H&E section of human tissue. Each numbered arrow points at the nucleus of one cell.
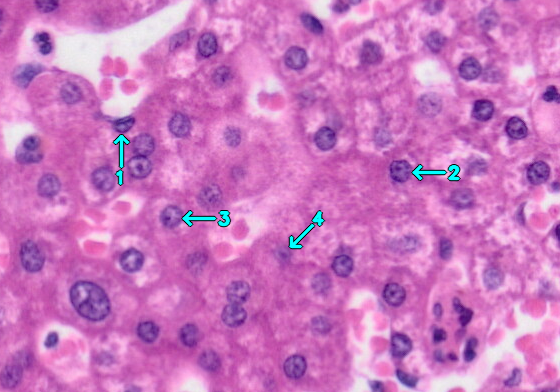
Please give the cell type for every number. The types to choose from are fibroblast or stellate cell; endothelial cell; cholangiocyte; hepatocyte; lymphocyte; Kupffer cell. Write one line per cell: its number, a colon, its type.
1: fibroblast or stellate cell
2: hepatocyte
3: hepatocyte
4: hepatocyte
